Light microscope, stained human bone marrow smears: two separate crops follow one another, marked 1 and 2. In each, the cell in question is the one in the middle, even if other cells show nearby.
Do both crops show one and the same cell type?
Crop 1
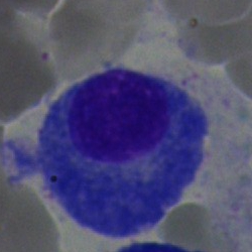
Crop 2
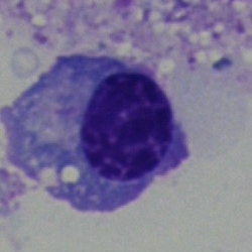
yes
